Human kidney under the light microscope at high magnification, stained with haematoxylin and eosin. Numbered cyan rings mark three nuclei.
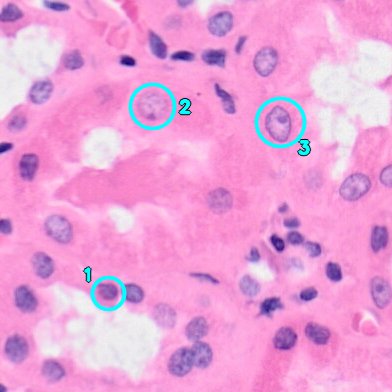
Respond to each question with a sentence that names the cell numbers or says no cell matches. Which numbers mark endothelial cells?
No numbered nucleus belongs to one of the endothelial cells.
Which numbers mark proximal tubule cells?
Here, the cells that carry numbers 2 and 3 are proximal tubule cells.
